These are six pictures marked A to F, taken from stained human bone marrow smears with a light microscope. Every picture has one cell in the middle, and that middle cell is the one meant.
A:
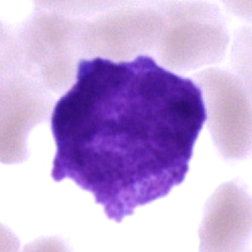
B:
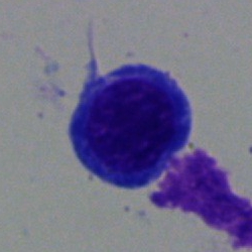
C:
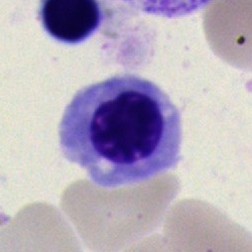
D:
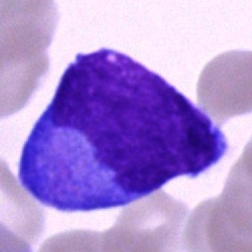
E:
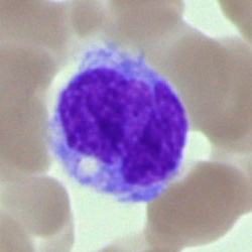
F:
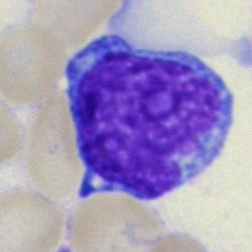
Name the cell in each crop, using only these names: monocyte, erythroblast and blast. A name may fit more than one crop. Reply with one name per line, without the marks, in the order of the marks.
blast
erythroblast
erythroblast
blast
monocyte
blast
